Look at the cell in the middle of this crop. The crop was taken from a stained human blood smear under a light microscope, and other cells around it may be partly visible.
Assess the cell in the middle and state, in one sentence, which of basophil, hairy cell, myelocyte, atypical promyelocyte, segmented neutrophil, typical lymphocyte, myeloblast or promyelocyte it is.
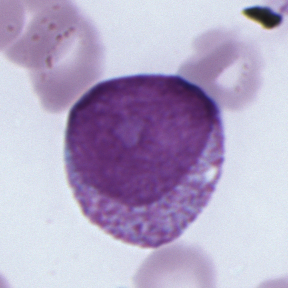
The cell centered in this field of view is a myelocyte.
